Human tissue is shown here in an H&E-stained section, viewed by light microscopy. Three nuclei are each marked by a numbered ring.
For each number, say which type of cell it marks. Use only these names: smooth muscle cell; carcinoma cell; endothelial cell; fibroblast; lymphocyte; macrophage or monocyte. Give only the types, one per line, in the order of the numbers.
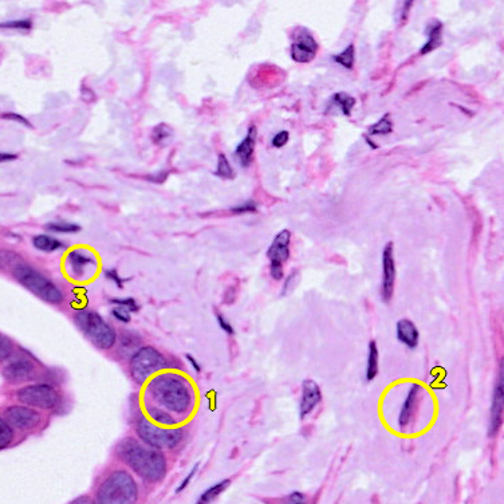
carcinoma cell
fibroblast
fibroblast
